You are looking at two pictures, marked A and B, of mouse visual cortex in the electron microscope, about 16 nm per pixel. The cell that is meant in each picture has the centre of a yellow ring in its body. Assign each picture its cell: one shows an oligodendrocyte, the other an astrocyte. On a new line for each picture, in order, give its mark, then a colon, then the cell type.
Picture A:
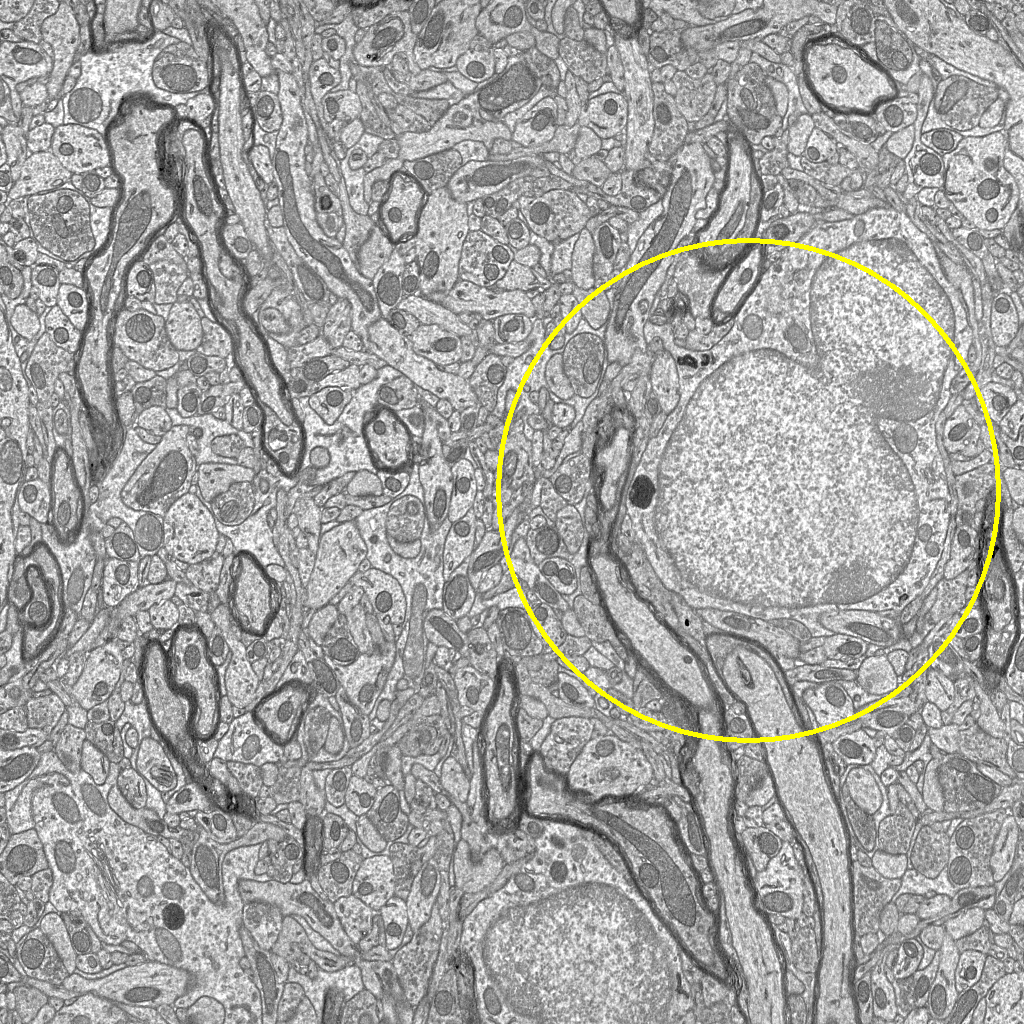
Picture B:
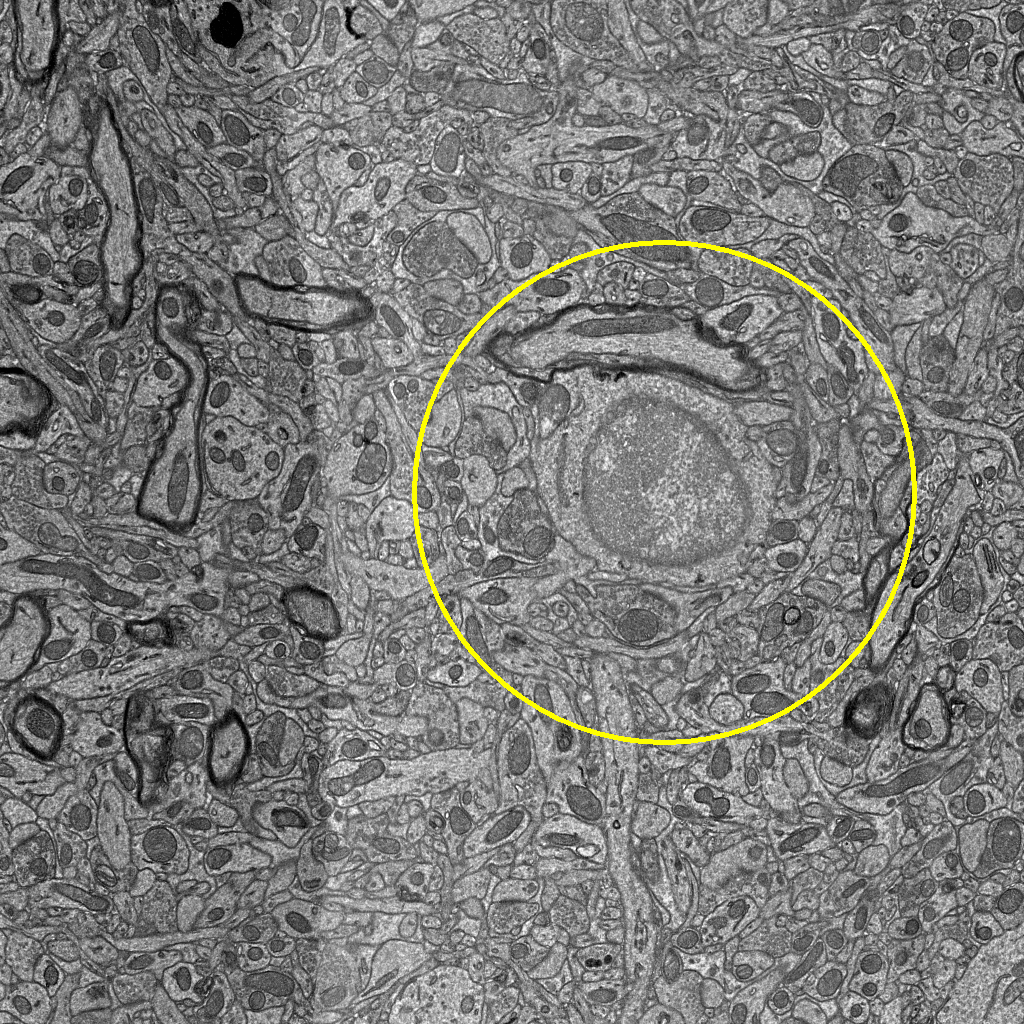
A: astrocyte
B: oligodendrocyte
